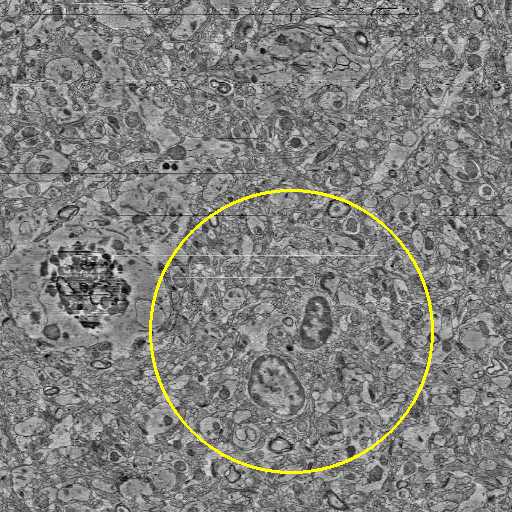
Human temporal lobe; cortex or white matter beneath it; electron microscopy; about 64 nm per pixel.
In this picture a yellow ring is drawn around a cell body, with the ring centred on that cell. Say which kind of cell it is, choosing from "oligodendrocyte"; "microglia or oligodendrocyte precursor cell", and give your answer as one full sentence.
Here it is a microglial cell or oligodendrocyte precursor cell that sits at the centre of the drawn yellow ring.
